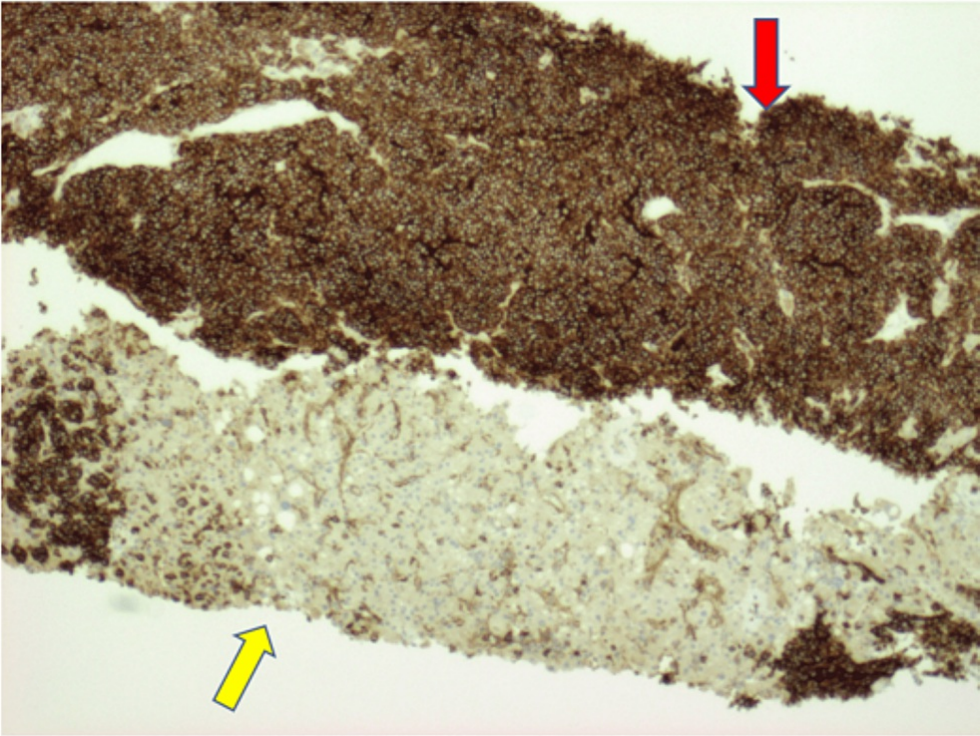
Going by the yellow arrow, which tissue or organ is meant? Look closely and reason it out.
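Normal liver parenchyma. The lower fragment is made of larger polygonal cells with pale cytoplasm and blue nuclei. This area is mostly unstained, with only thin brown lines between the cells. Some clear round vacuoles lie within this paler tissue.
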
